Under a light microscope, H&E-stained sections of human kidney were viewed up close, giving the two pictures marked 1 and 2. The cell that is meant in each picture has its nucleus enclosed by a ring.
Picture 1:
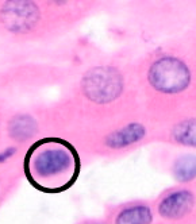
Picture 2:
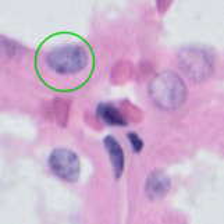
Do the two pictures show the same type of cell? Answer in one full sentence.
Yes, the two pictures both show “loop of Henle or distal tubule cells”.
